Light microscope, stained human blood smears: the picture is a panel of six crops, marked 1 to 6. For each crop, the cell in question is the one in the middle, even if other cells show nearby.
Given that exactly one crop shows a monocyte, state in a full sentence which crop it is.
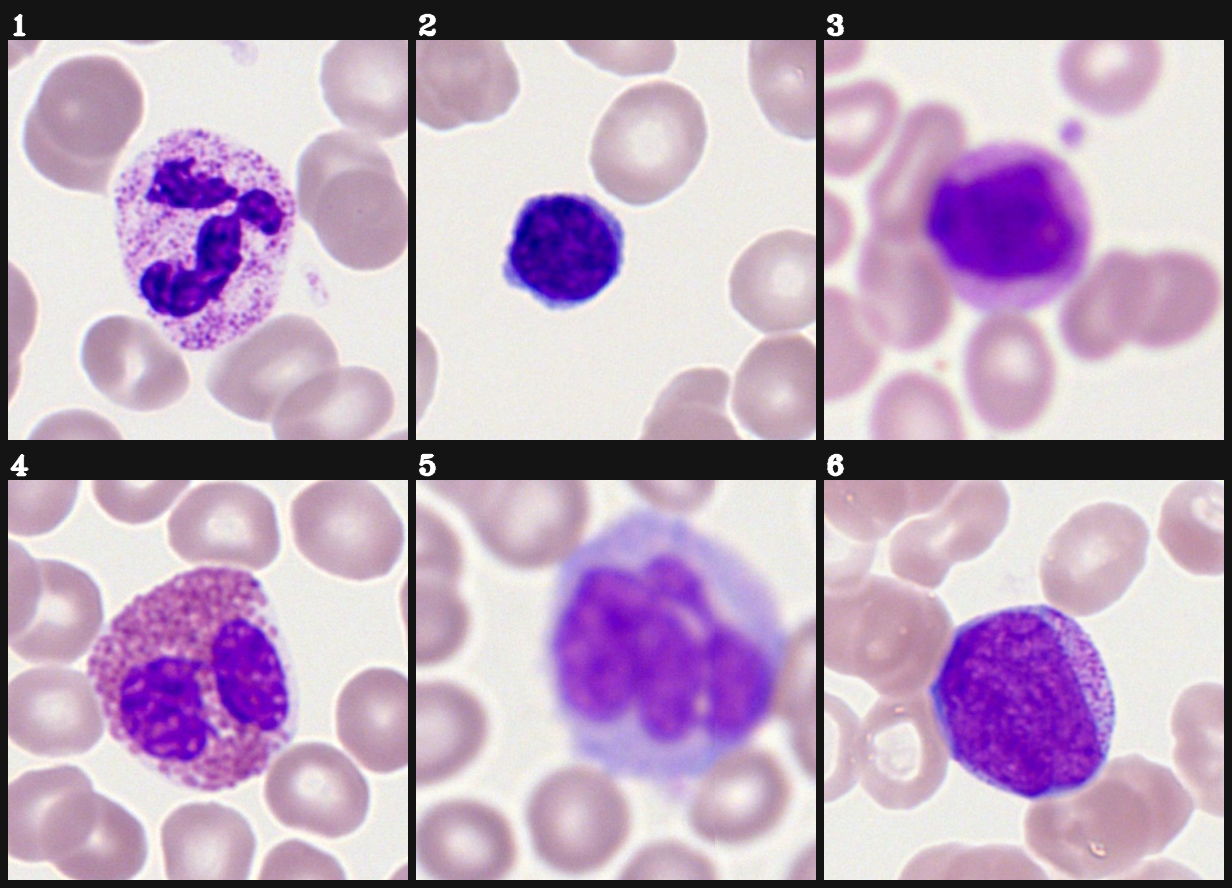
Crop 5 is where a monocyte is to be found.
